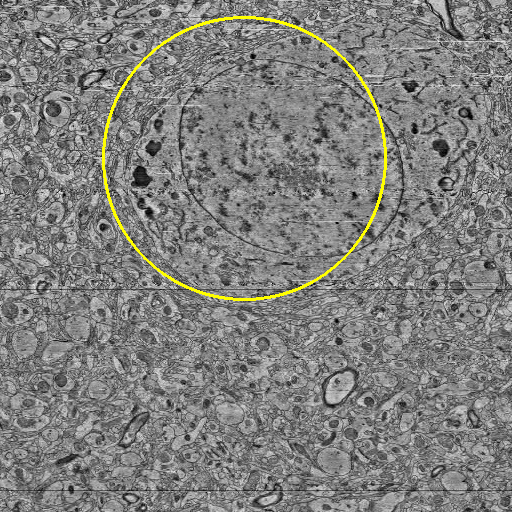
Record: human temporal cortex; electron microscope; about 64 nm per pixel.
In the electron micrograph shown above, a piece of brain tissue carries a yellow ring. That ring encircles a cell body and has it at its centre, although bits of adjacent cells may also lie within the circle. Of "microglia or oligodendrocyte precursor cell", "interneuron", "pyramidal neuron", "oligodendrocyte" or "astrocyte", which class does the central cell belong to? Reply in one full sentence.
The cell body at the centre of the yellow ring belongs to a pyramidal neuron.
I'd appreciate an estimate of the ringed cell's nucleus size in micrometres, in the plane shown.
In this plane the nucleus spans approximately 15 by 13 micrometers.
